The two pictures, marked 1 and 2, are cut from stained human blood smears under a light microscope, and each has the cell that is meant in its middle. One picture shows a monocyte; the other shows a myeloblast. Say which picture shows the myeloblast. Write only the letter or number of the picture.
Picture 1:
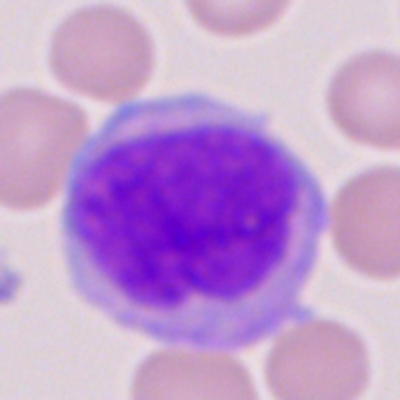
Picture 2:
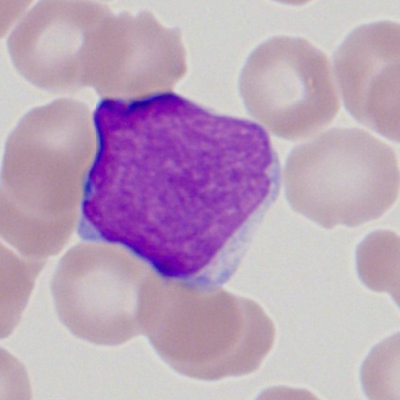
2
